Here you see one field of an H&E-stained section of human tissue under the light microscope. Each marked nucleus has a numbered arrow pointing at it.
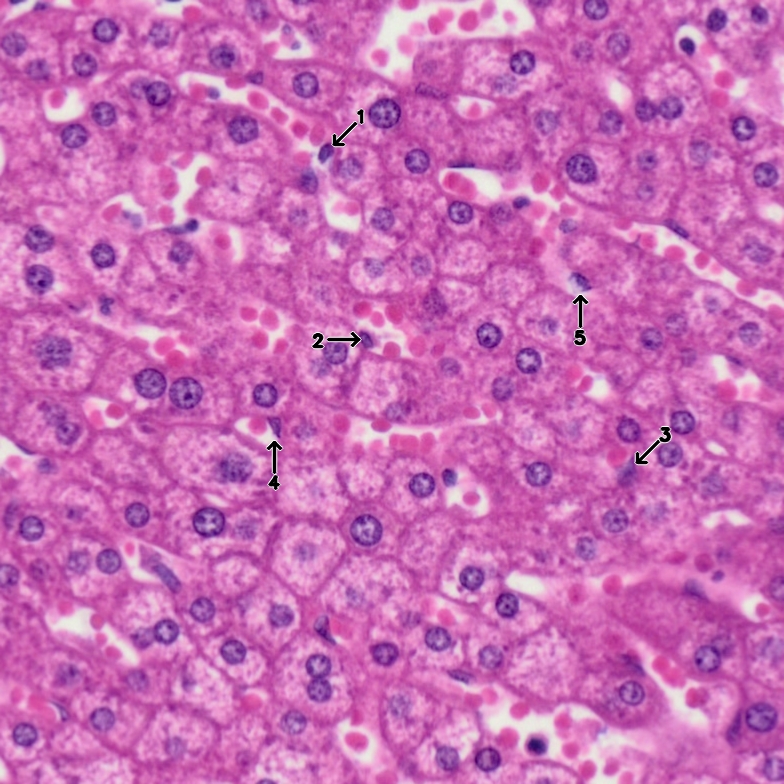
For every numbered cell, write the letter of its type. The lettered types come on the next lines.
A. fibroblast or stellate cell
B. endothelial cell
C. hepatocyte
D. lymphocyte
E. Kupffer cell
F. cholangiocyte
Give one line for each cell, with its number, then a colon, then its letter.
1: D
2: E
3: B
4: B
5: B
